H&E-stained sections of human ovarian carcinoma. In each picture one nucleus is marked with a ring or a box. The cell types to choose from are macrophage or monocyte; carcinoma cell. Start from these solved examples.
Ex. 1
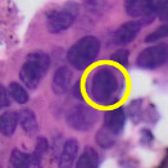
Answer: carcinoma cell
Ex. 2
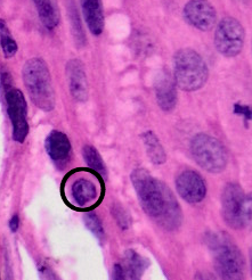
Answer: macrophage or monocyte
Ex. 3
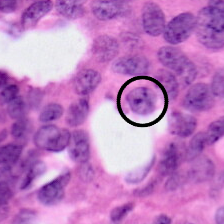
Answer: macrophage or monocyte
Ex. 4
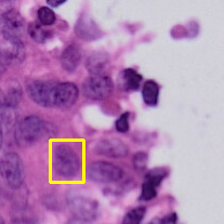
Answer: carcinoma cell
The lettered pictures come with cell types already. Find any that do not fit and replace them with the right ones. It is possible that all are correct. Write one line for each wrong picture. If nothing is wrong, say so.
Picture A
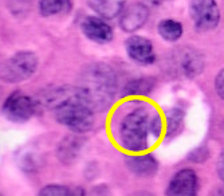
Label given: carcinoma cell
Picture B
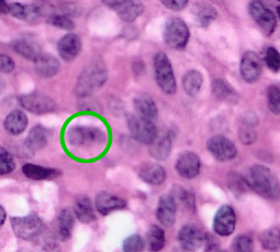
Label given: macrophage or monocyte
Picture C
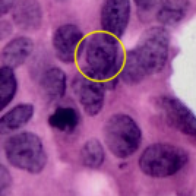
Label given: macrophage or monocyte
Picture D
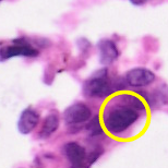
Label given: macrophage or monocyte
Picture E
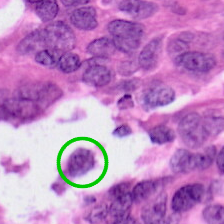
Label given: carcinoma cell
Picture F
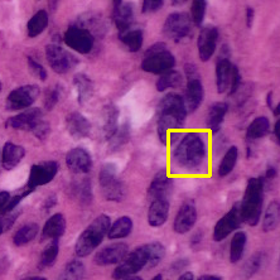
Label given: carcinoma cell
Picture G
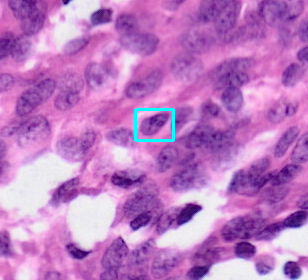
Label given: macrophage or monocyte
Wrong: C (macrophage or monocyte); correct: carcinoma cell
Wrong: D (macrophage or monocyte); correct: carcinoma cell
